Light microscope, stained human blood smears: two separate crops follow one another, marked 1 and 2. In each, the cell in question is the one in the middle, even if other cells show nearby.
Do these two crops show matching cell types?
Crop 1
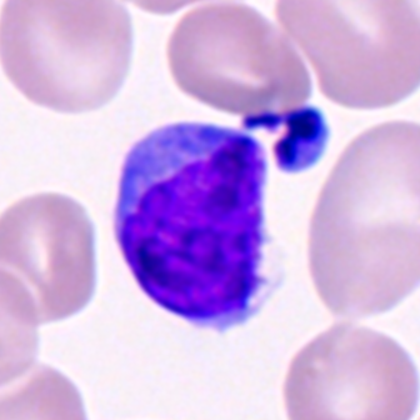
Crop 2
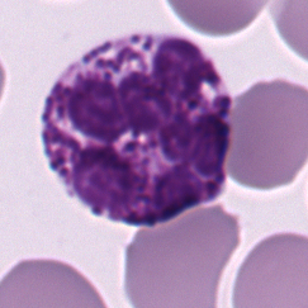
no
